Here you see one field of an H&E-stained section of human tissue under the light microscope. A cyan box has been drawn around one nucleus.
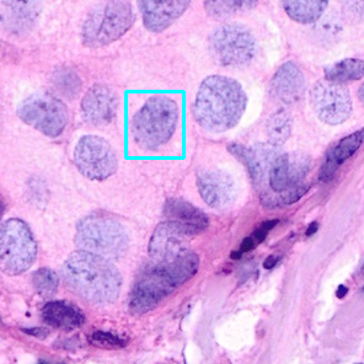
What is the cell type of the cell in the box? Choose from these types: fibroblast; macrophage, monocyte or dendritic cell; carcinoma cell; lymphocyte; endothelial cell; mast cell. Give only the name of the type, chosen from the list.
carcinoma cell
